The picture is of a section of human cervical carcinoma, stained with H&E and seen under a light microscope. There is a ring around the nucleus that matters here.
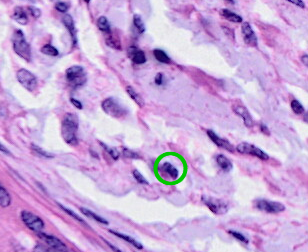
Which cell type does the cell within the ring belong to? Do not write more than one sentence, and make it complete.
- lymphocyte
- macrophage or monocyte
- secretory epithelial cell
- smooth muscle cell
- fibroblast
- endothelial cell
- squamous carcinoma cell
At the level of cell identity, the cell within the ring is a lymphocyte.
